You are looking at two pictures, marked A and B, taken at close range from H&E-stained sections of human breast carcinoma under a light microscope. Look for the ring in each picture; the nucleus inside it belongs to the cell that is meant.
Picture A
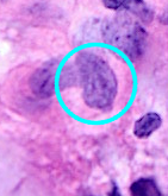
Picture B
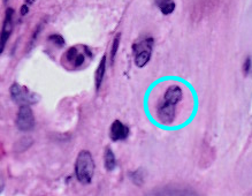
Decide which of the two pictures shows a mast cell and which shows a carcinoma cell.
A: carcinoma cell
B: mast cell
